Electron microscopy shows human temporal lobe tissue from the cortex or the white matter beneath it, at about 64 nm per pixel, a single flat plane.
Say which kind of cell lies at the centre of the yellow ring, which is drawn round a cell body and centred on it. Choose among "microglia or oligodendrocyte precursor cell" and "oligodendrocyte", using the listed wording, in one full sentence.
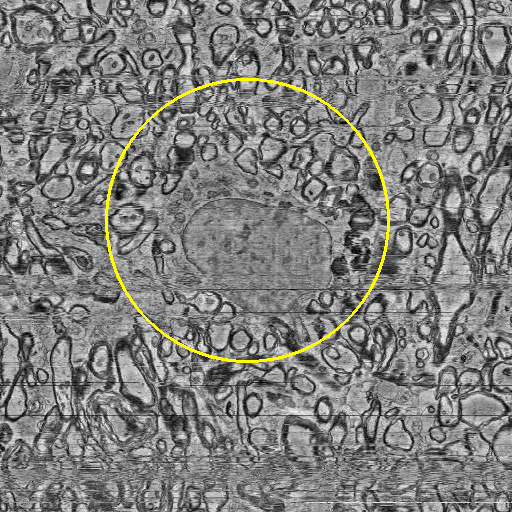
Going by the list, the cell at the yellow ring's centre is an oligodendrocyte.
